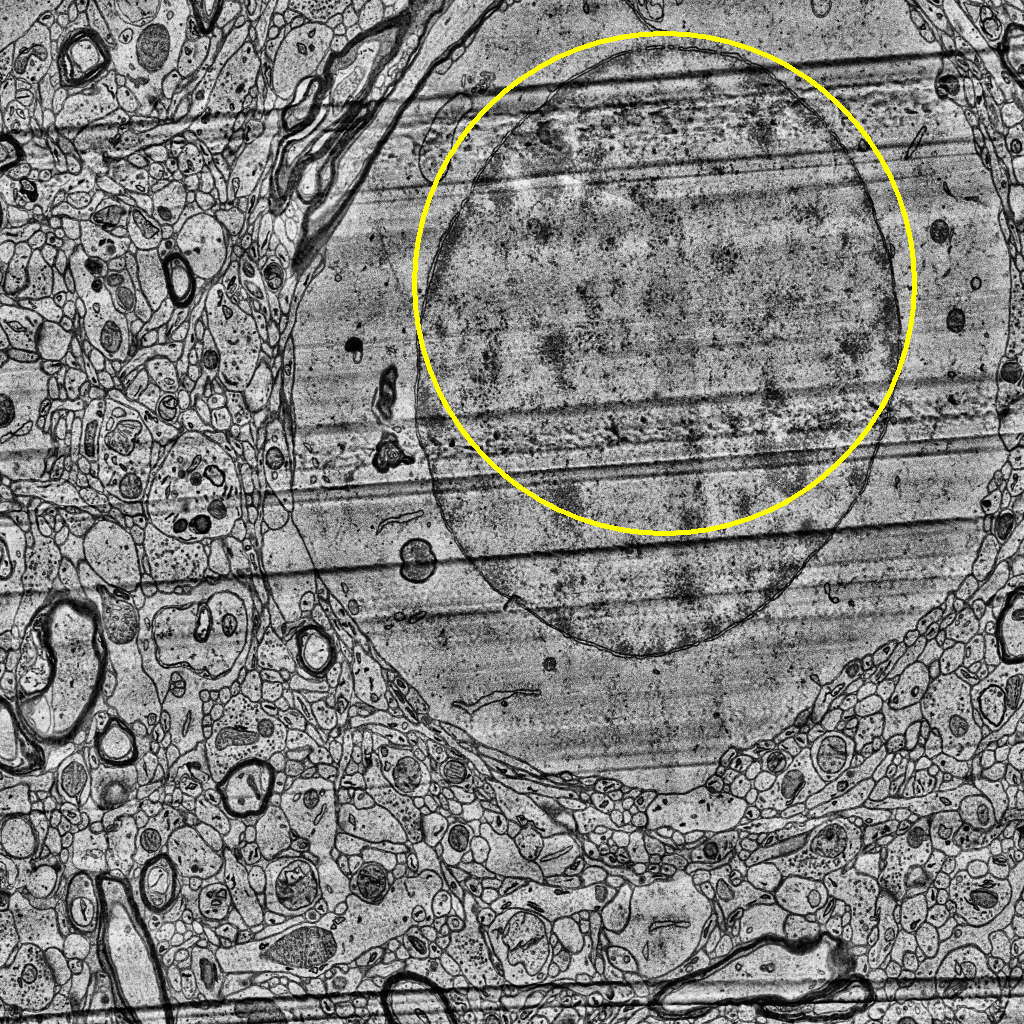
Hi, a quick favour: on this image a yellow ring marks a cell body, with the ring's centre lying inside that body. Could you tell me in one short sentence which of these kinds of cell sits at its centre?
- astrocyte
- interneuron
The ring's centre lies in an astrocyte.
